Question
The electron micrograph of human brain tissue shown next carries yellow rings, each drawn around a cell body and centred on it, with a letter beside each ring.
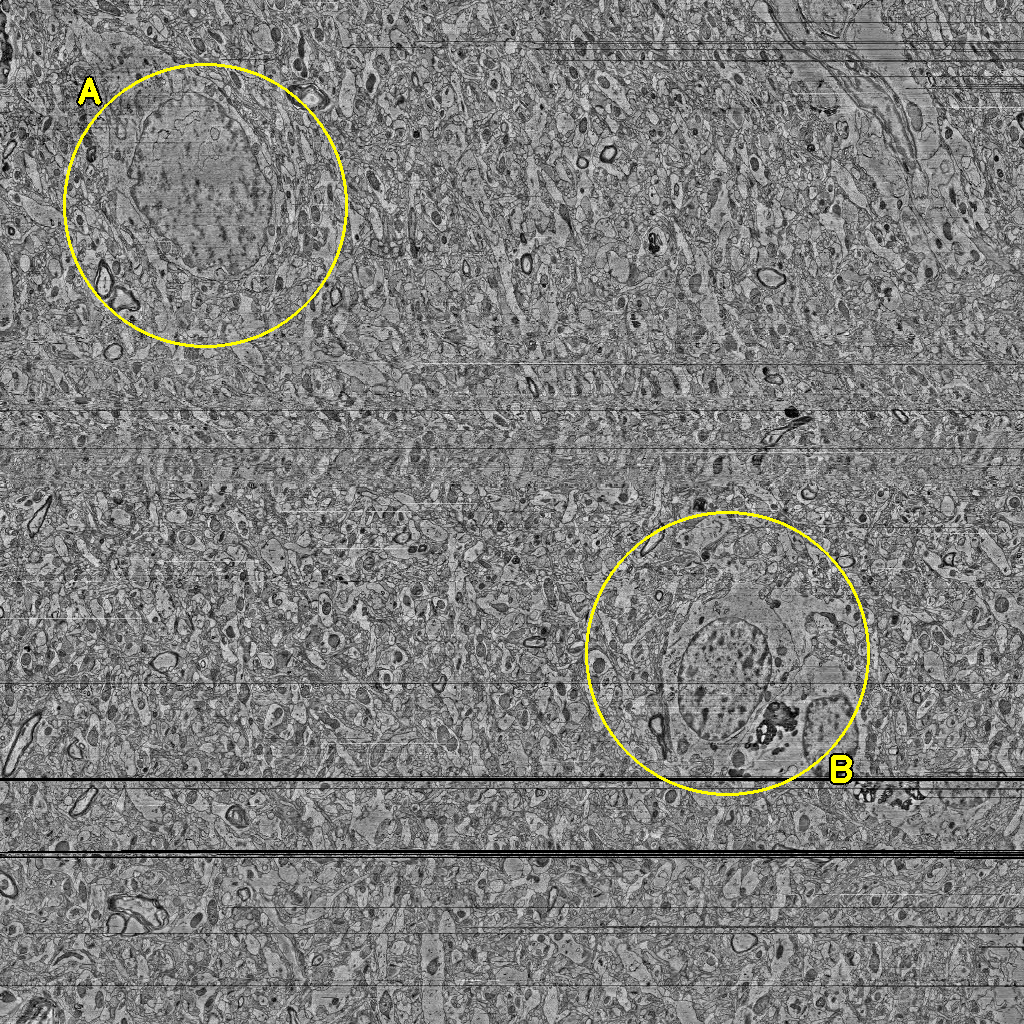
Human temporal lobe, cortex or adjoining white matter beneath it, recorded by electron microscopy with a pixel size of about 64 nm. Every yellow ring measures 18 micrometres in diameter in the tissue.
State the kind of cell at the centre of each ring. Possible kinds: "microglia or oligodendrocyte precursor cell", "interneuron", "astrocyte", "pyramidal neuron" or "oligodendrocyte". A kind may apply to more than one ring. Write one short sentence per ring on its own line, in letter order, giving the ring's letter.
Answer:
The cell centred in ring A is an interneuron.
The cell centred in ring B is an astrocyte.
